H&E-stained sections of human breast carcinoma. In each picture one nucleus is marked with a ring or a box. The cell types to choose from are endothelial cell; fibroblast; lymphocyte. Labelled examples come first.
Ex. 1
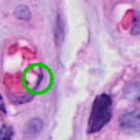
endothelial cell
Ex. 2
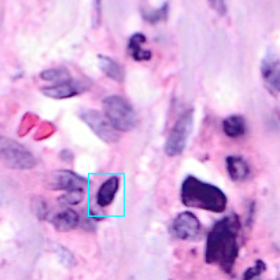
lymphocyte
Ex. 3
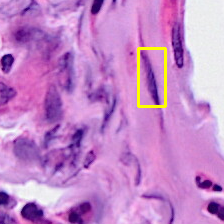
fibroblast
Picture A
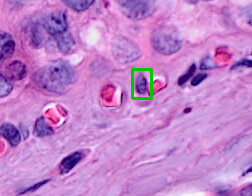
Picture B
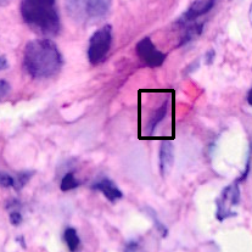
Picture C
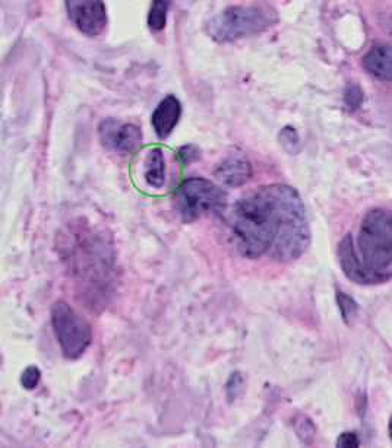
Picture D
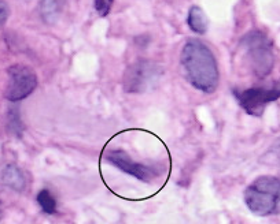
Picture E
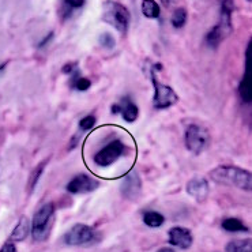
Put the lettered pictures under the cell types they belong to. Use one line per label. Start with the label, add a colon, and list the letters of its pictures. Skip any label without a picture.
endothelial cell: A, B
fibroblast: D
lymphocyte: C, E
